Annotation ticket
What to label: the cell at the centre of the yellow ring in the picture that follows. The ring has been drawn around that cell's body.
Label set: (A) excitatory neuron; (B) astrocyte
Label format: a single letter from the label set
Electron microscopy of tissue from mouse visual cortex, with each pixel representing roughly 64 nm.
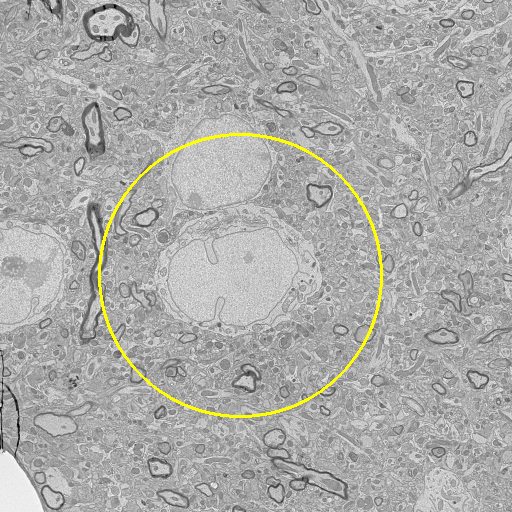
A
